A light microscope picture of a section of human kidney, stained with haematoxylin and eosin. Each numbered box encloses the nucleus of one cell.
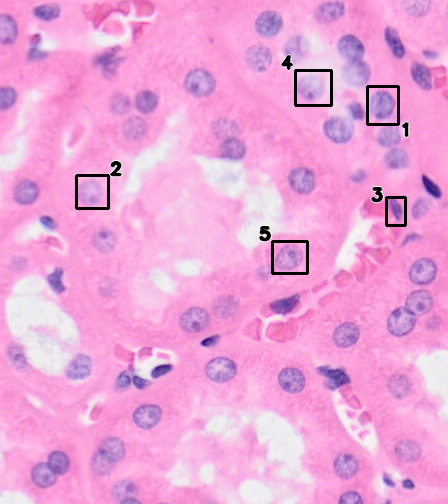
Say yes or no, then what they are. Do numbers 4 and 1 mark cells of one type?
Yes, both are loop of Henle or distal tubule cells.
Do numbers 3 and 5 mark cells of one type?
No, cell 3 is an endothelial cell and cell 5 is a proximal tubule cell.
